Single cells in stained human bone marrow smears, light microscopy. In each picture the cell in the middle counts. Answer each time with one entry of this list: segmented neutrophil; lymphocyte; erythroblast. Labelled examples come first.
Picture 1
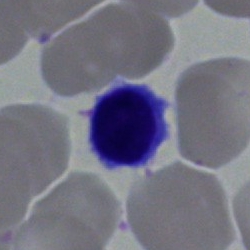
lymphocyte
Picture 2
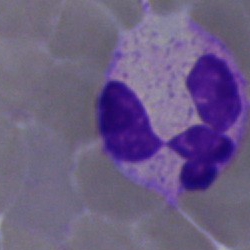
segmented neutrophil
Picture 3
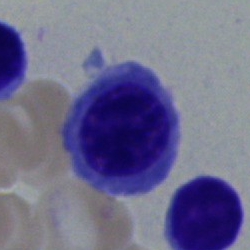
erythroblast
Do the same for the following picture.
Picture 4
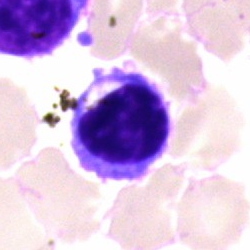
lymphocyte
